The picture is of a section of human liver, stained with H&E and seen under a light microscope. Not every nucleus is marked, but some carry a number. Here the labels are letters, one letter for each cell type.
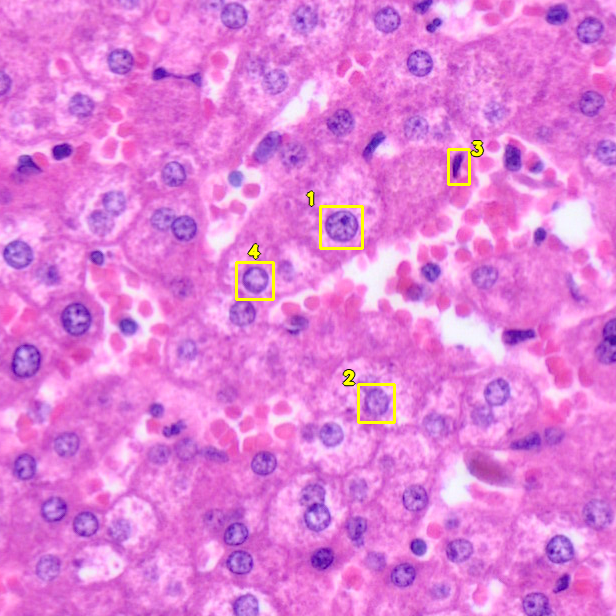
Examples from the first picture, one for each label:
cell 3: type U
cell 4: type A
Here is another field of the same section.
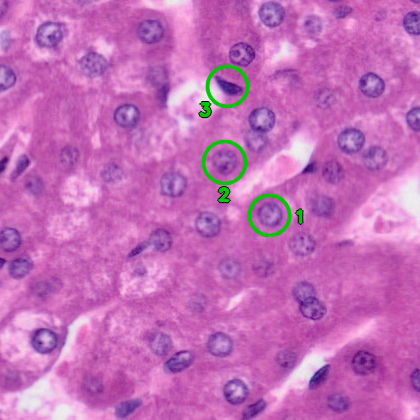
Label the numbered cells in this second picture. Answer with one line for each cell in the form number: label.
1: type A
2: type A
3: type U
